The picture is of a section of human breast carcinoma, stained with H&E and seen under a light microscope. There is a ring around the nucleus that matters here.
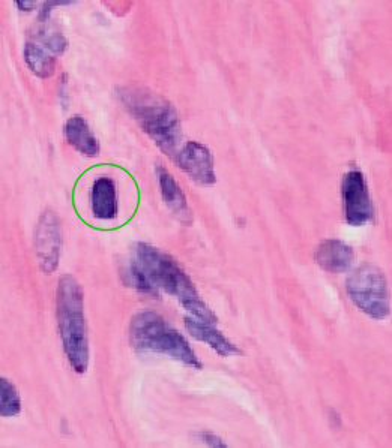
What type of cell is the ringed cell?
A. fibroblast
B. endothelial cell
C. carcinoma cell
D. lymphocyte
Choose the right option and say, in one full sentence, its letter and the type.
Under option D, the ringed cell is listed as a lymphocyte, which is correct.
